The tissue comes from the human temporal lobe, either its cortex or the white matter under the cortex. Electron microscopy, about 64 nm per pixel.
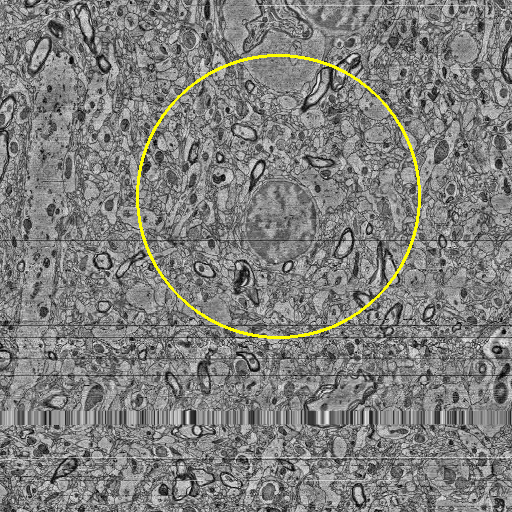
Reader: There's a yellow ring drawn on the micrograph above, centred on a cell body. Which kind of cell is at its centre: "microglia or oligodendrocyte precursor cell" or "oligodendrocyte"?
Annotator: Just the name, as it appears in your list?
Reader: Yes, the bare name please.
oligodendrocyte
